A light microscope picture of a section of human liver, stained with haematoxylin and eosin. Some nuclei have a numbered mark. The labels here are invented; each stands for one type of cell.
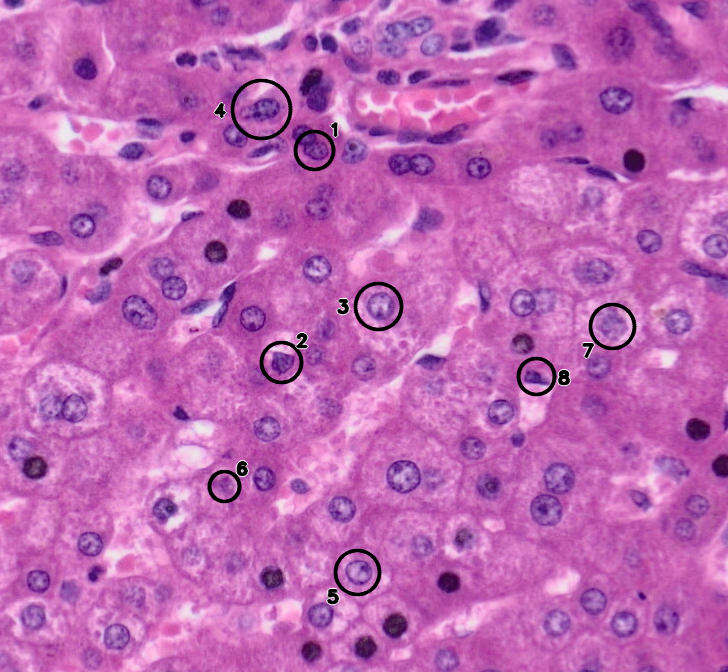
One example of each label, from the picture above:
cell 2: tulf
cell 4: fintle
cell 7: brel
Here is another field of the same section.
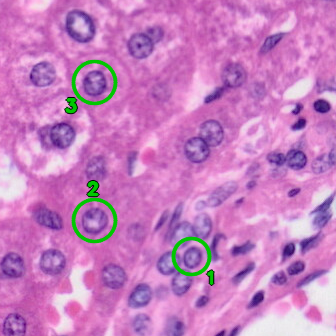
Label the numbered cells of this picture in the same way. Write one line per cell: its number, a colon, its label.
1: fintle
2: brel
3: brel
